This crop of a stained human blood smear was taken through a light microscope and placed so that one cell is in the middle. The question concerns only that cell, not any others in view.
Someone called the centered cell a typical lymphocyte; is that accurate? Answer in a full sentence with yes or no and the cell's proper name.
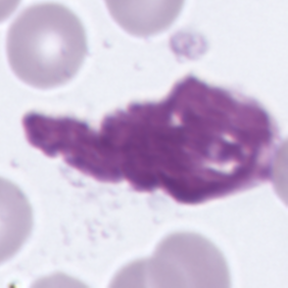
No, the cell under consideration is a smudge cell instead of a typical lymphocyte.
